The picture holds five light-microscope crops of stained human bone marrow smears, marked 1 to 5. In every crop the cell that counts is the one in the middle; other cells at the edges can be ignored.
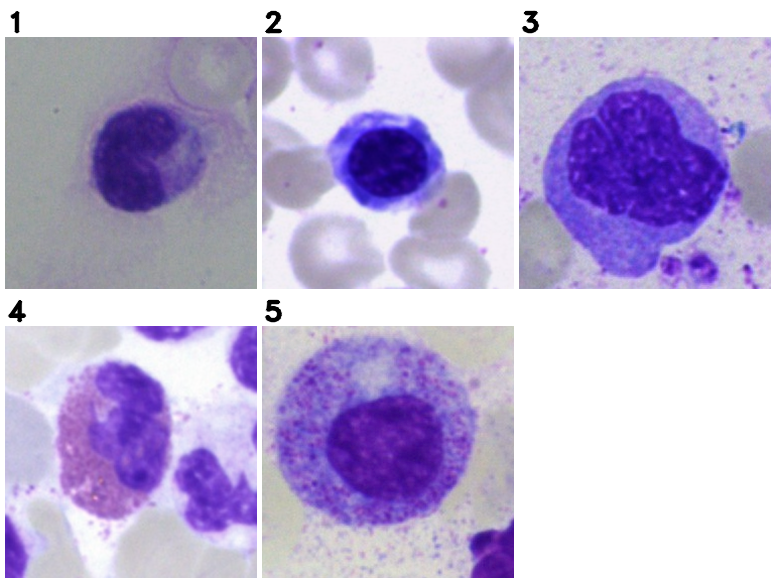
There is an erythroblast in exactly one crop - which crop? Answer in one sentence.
The crop showing an erythroblast in this series is crop 2.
